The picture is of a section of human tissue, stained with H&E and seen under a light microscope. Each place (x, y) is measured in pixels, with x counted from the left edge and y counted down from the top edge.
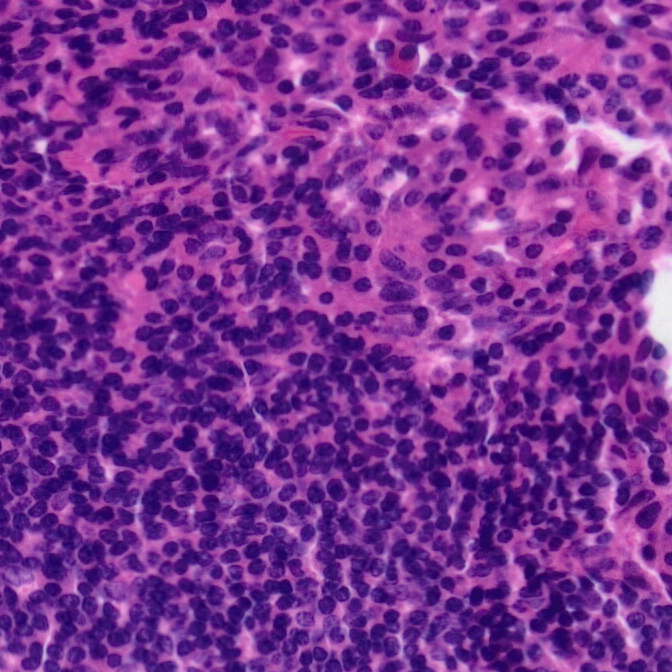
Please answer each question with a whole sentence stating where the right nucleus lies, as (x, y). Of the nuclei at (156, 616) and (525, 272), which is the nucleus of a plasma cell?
At (525, 272) lies the nucleus that belongs to a plasma cell.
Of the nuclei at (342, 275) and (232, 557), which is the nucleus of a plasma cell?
The nucleus at (342, 275) is assigned to a plasma cell.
